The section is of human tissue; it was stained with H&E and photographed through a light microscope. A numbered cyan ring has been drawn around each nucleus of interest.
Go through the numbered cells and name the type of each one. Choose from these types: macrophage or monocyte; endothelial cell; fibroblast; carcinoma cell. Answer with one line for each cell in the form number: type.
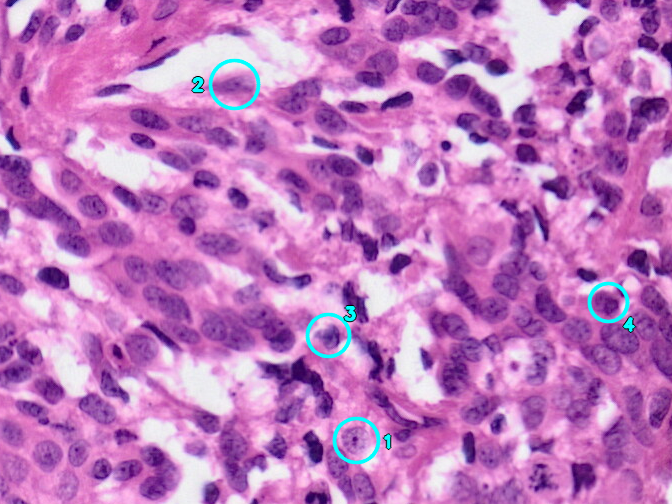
1: macrophage or monocyte
2: fibroblast
3: macrophage or monocyte
4: carcinoma cell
